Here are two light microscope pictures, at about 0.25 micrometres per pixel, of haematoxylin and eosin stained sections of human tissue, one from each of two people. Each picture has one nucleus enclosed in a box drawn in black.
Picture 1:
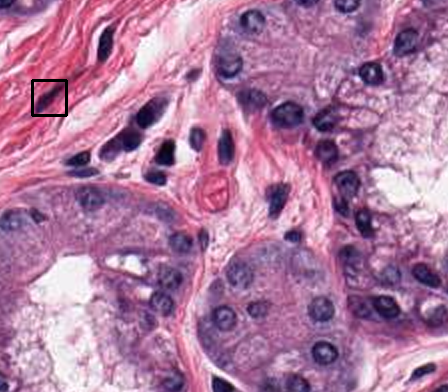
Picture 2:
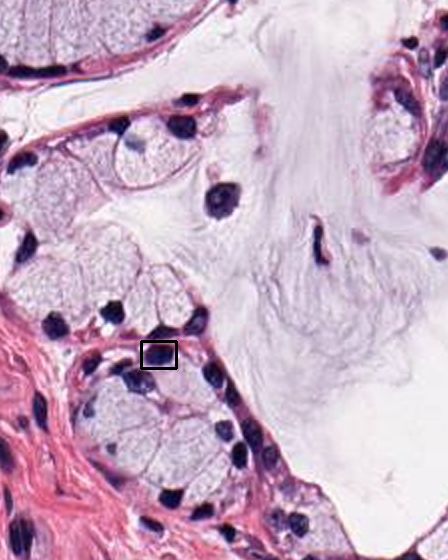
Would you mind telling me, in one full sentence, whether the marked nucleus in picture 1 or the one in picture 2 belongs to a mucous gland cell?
In picture 2 alone, the marked nucleus belongs to a mucous gland cell.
